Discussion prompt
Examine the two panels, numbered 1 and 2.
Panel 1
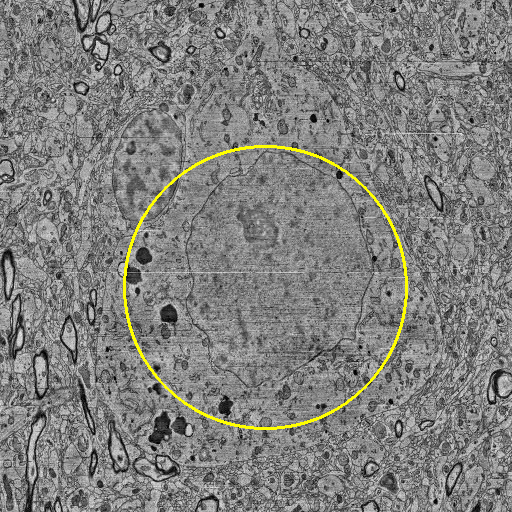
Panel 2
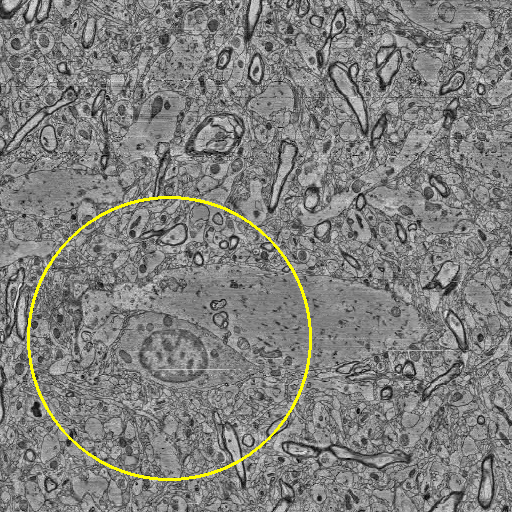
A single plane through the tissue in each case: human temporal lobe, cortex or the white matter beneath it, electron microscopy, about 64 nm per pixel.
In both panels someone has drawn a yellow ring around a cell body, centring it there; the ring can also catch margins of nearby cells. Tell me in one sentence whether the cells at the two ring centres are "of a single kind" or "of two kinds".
Taken together, the two cells centred in the rings of Panels 1 and 2 are of two kinds.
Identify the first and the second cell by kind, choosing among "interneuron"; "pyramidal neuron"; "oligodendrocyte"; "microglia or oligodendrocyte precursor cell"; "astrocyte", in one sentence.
The one in the first picture is a pyramidal neuron, while the one in the second is an oligodendrocyte.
